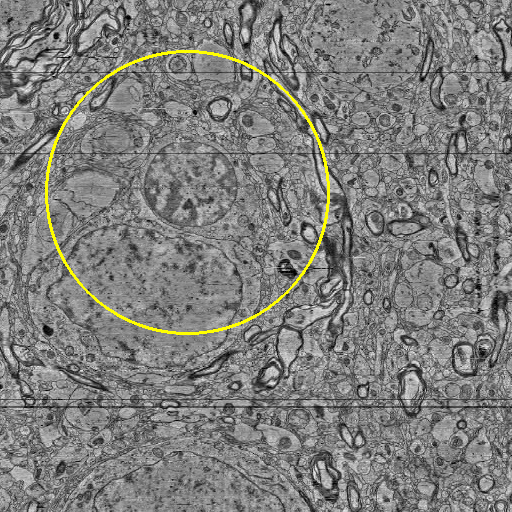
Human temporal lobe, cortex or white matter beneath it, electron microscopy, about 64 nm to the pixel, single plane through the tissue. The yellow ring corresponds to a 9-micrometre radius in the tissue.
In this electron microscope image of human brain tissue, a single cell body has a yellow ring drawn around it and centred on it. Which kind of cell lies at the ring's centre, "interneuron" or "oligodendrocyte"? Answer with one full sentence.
It is an oligodendrocyte whose cell body lies at the centre of the yellow ring here.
